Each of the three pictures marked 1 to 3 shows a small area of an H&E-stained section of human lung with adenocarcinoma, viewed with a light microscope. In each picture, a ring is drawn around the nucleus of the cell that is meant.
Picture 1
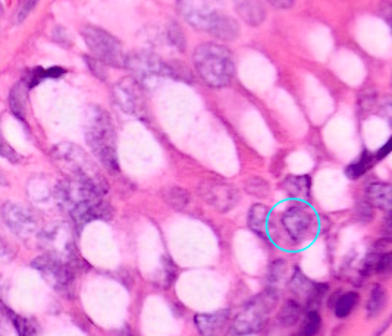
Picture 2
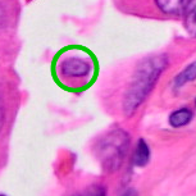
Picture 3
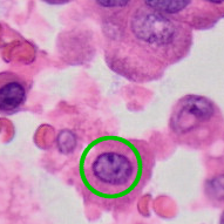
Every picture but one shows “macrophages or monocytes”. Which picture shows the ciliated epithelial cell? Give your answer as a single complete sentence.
Picture 1 is the one that shows the ciliated epithelial cell.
